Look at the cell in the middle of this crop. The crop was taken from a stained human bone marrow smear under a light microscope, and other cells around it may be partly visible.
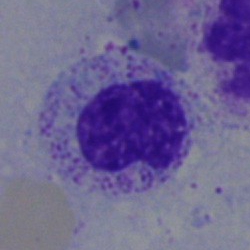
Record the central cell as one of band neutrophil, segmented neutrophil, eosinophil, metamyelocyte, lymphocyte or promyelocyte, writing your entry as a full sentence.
Whatever else lies nearby, the middle cell is a metamyelocyte.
